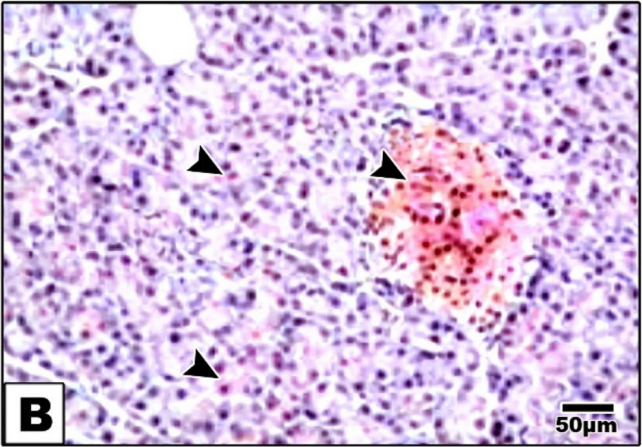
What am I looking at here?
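Pancreatic tissue showing exocrine acini and an islet of Langerhans. The acini are formed by closely packed pyramidal cells with dark, rounded nuclei, arranged in small groups; their cytoplasm carries a faint pinkish-red tint in places. Right of centre lies a rounded, well-defined islet of small, tightly packed cells whose cytoplasm is intensely stained red-brown, making it stand out sharply from the surrounding lilac acinar tissue. Dark nuclei are scattered throughout the islet. A clear rounded space, probably a vessel or duct lumen, lies at the upper edge, and thin pale clefts separate the glandular units.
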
